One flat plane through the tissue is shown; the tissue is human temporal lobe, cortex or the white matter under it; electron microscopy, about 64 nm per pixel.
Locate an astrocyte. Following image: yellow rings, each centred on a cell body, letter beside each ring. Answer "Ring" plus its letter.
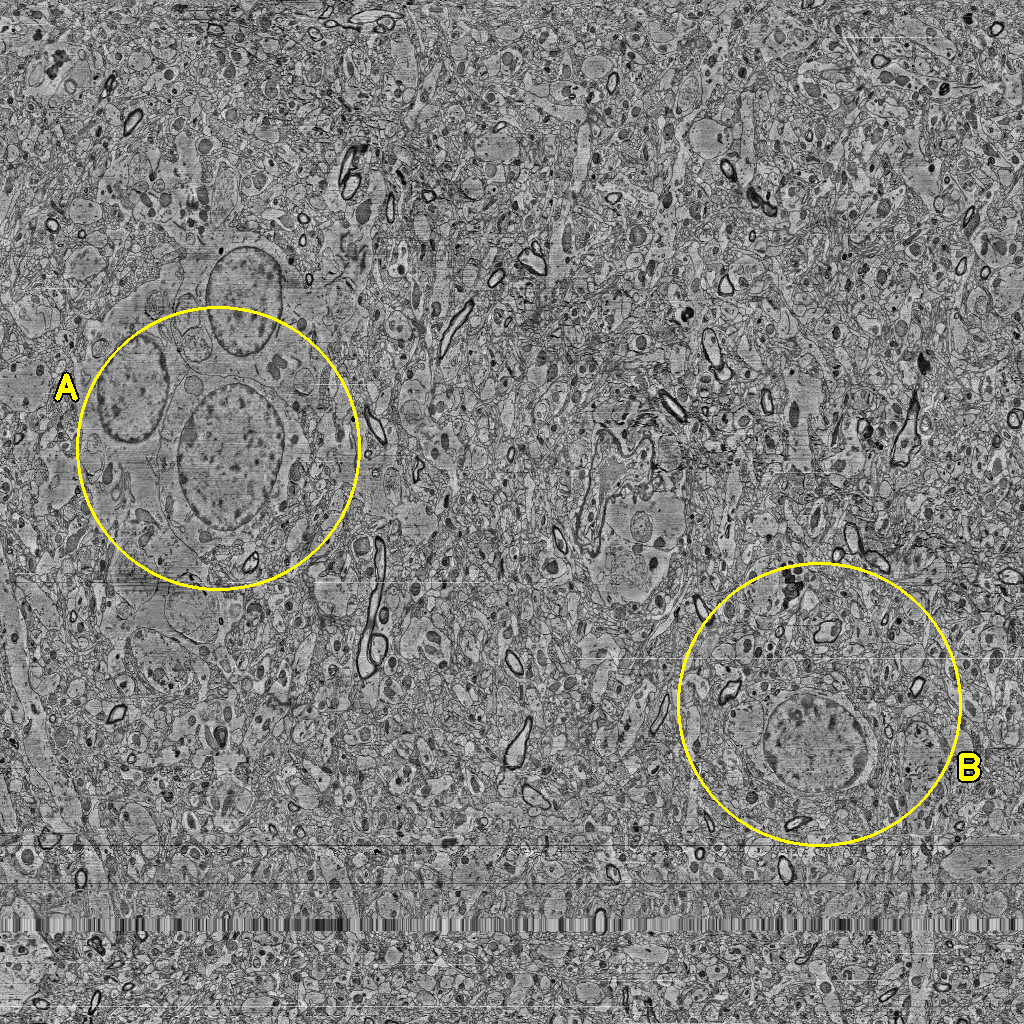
Ring A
